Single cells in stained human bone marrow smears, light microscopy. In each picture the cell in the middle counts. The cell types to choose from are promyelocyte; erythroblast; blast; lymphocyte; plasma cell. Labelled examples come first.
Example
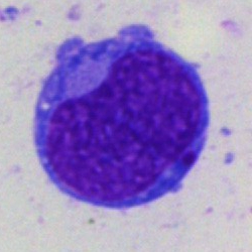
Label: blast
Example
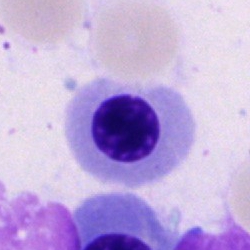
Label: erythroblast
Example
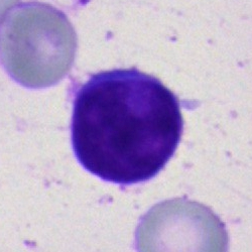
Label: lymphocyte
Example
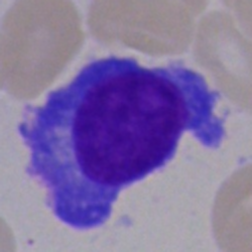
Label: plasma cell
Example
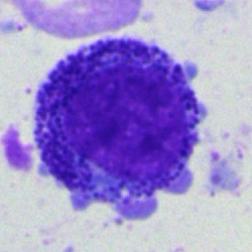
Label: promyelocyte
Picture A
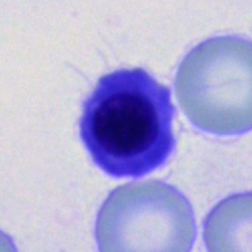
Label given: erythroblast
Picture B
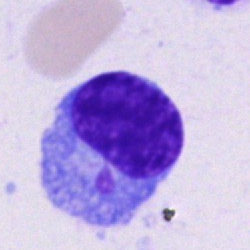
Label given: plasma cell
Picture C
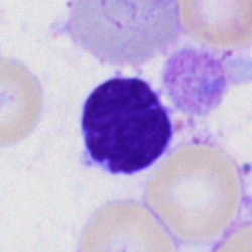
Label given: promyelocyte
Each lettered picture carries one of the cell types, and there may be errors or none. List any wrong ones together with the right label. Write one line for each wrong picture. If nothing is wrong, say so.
C should be lymphocyte, not promyelocyte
